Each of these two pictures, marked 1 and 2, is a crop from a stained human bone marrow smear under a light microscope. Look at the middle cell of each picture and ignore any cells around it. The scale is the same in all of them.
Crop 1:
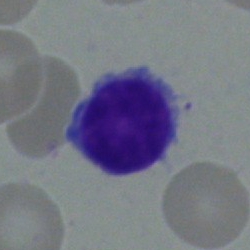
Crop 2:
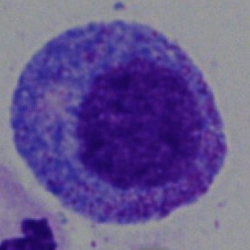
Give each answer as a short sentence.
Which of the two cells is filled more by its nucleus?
Of the two, the nucleus in crop 1 makes up the greater part of its cell.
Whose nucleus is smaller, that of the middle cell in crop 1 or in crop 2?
Smaller is the nucleus in crop 1, and the other is about 2 times as large in area.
